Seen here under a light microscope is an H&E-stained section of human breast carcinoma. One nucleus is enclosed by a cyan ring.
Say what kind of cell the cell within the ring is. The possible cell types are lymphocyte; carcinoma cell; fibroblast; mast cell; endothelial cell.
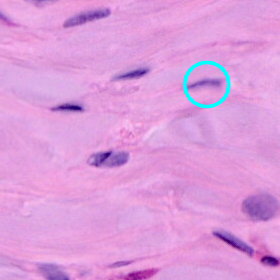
fibroblast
